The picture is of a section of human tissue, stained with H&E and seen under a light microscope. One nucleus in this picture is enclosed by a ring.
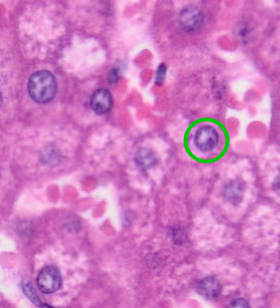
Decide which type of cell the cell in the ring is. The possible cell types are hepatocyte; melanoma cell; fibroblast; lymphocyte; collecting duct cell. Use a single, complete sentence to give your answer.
Labelled by cell type, the cell in the ring is a hepatocyte.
